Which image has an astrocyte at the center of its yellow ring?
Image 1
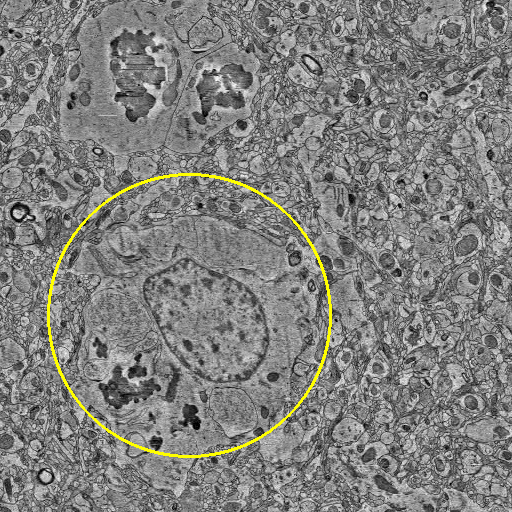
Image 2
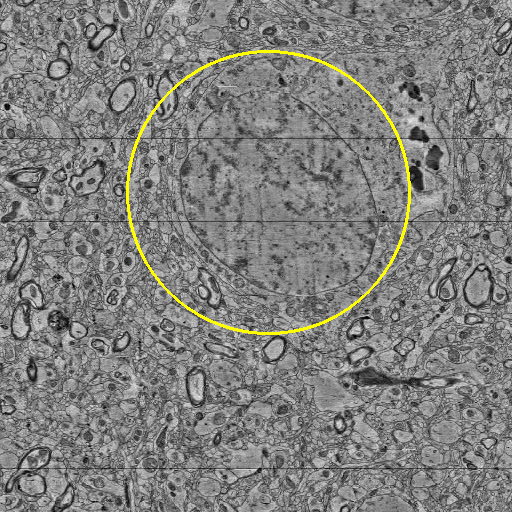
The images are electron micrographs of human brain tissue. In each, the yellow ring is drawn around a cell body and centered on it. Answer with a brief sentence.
It is at the center of the ring in Image 1.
